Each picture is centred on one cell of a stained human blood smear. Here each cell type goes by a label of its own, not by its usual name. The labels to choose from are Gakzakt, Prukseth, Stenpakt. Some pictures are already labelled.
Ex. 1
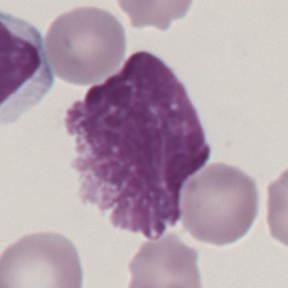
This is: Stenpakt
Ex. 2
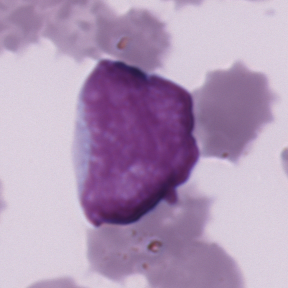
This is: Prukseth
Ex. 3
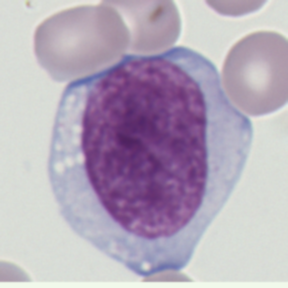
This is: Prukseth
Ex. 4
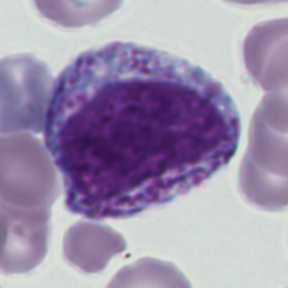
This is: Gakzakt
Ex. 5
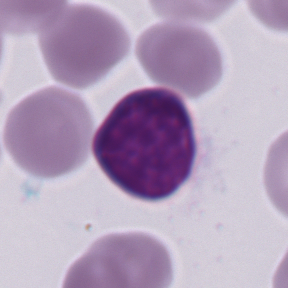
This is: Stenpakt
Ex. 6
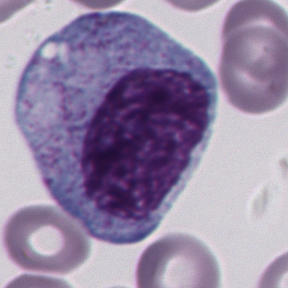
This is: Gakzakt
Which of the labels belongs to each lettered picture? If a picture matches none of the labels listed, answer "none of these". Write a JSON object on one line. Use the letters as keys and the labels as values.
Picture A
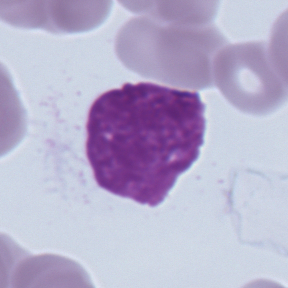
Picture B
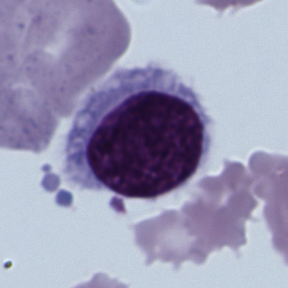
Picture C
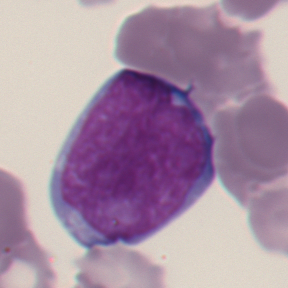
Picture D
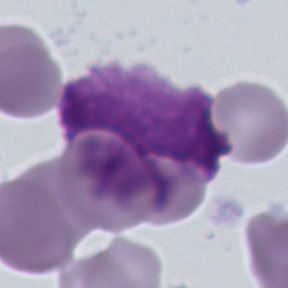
{"A": "Stenpakt", "B": "none of these", "C": "Prukseth", "D": "Stenpakt"}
